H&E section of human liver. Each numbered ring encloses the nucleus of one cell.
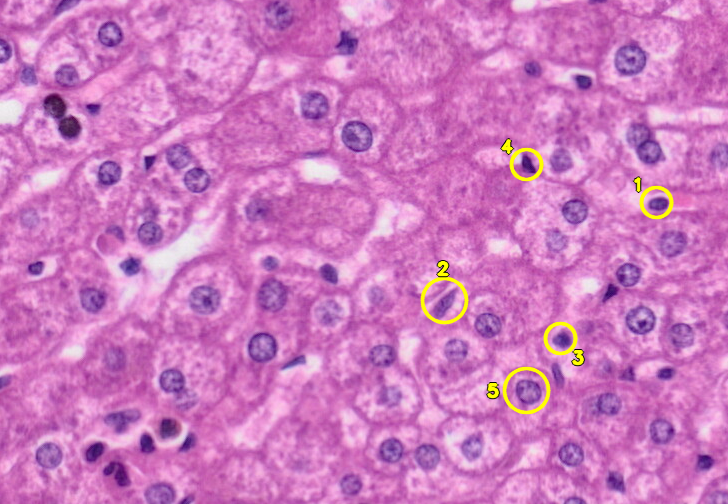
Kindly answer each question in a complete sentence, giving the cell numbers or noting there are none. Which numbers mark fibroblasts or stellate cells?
Just one numbered cell is a fibroblast or stellate cell, and that cell is number 4.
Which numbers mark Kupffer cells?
In contrast to the remaining marked cells, cell 2 is a Kupffer cell.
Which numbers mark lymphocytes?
The cells 1 and 3 in this section are lymphocytes.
